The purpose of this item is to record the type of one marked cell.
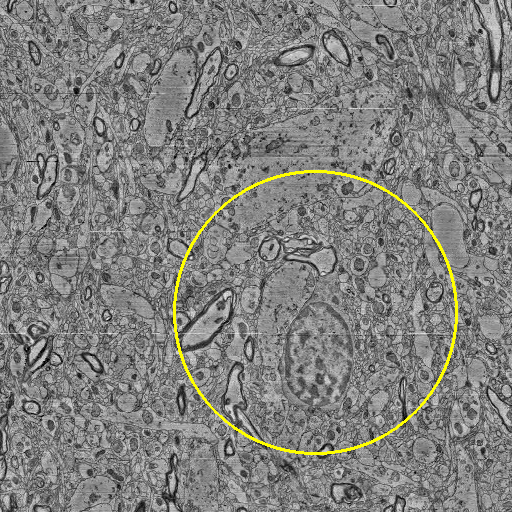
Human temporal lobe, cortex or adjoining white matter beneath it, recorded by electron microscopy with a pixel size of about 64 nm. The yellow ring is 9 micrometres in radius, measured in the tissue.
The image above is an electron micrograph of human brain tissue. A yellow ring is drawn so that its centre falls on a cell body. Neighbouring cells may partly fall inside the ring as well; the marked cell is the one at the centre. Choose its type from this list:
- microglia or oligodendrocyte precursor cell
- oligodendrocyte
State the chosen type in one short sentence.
What the ring marks here is an oligodendrocyte.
